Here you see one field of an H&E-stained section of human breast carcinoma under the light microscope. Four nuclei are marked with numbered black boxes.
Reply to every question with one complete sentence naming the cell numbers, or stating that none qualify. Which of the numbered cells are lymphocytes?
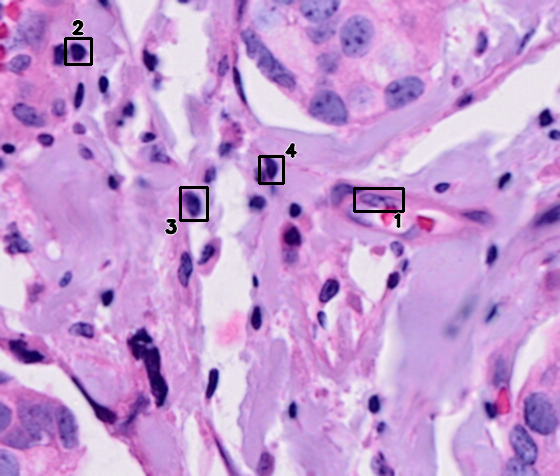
Cells 2, 3 and 4 in the section are typed as lymphocytes.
